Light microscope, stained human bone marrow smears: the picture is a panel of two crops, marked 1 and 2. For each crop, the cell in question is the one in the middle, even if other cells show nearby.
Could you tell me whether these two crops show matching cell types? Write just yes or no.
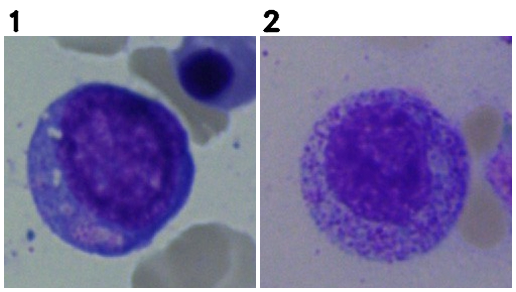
no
